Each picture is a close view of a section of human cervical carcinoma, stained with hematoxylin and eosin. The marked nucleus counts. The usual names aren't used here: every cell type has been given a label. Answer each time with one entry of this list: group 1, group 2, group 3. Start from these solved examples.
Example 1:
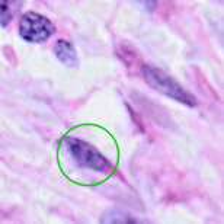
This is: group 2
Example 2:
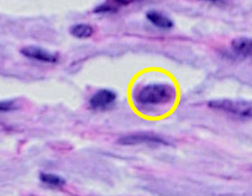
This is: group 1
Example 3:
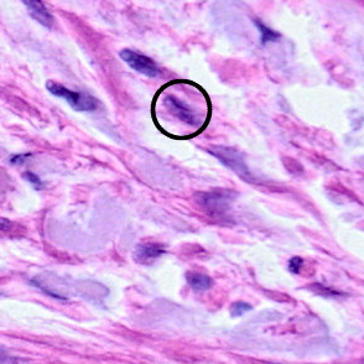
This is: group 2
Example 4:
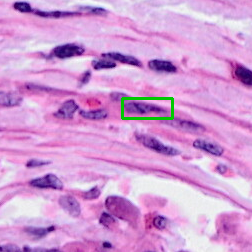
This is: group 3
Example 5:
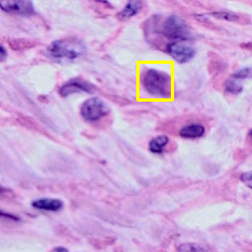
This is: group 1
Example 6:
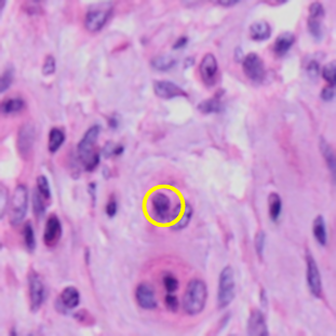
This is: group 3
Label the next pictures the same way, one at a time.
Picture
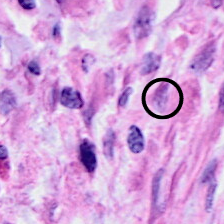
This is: group 2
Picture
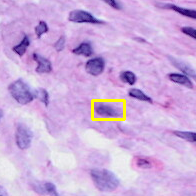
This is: group 2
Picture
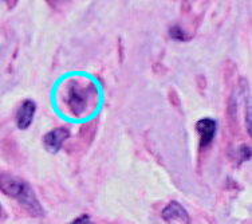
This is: group 1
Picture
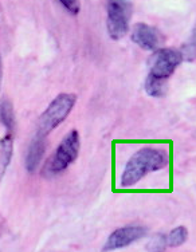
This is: group 2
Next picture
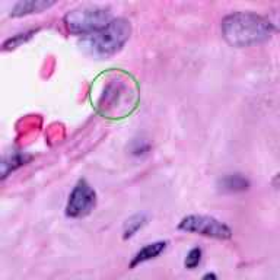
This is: group 3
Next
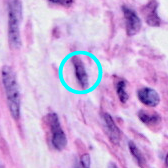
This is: group 2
